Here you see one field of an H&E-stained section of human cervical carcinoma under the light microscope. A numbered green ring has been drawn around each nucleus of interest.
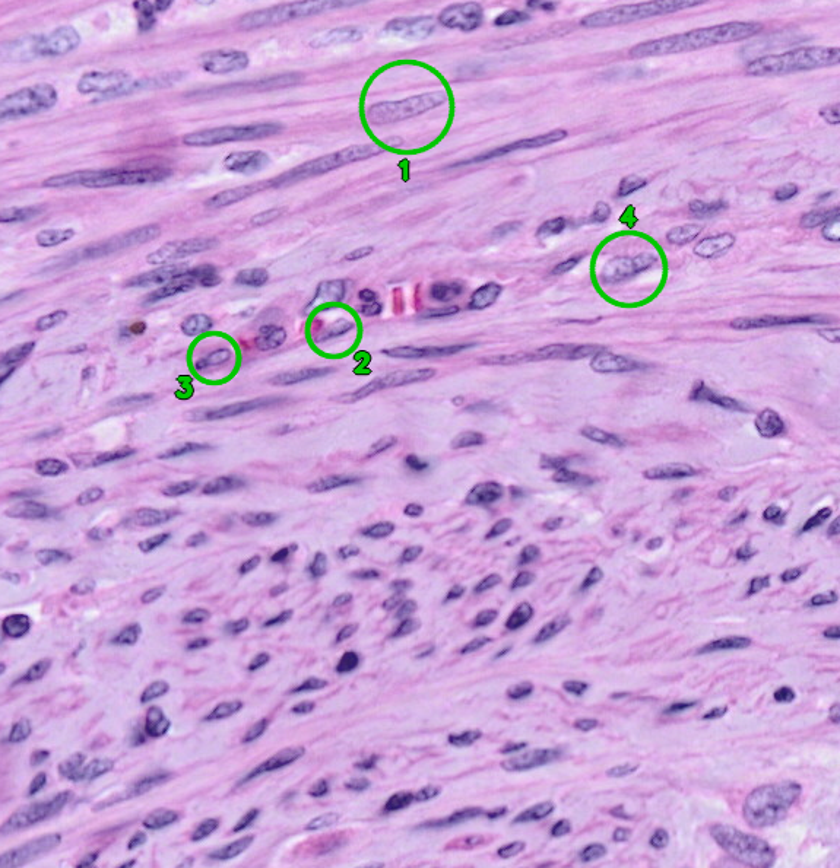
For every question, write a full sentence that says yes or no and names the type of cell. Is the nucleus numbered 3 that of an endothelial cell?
Yes, cell 3 is an endothelial cell in this tissue section.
